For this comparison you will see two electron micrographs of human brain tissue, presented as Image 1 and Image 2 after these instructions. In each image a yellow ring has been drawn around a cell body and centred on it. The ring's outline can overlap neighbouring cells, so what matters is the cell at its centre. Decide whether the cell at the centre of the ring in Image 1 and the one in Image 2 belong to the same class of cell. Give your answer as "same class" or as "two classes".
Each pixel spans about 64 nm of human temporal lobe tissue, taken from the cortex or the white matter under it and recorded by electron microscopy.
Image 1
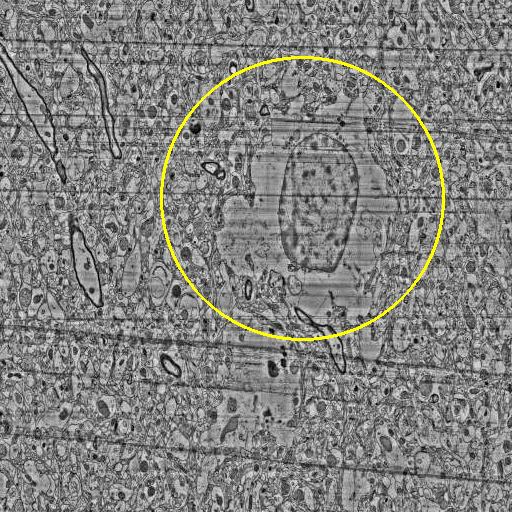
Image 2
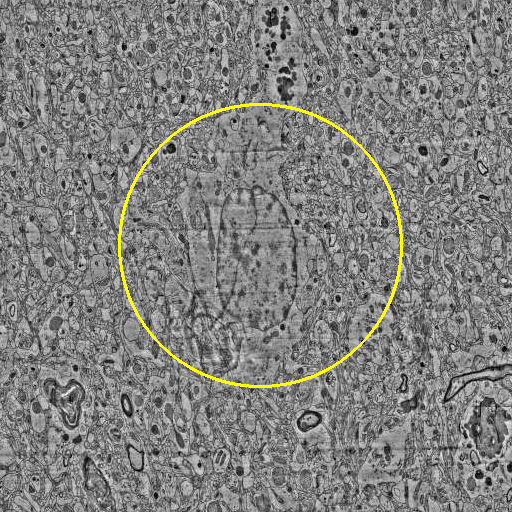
same class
